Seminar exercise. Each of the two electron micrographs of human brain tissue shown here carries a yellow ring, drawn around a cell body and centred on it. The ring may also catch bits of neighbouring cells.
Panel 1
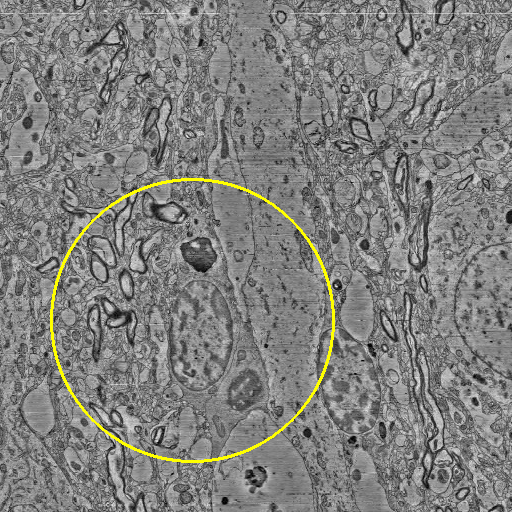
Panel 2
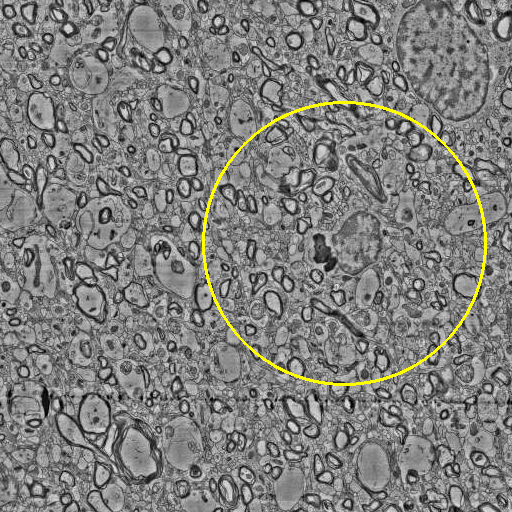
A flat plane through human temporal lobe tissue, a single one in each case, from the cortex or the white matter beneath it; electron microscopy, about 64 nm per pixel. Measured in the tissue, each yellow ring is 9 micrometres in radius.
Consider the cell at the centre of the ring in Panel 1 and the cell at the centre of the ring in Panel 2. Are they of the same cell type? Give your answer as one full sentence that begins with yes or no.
Yes, both cells are of the same type.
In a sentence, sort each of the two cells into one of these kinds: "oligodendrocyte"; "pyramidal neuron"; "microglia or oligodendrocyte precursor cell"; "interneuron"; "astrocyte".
Each of the ringed cells, first and second, is an oligodendrocyte.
